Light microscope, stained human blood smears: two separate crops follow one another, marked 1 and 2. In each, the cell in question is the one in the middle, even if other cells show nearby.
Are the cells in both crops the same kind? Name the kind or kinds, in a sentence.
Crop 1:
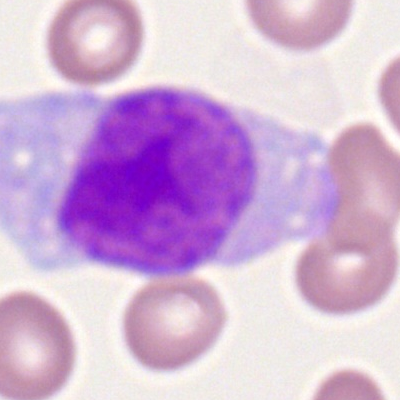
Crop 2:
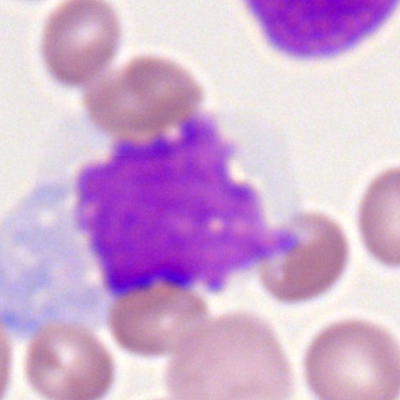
Yes, what both crops show at their centres are monocytes.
